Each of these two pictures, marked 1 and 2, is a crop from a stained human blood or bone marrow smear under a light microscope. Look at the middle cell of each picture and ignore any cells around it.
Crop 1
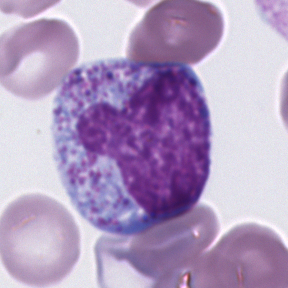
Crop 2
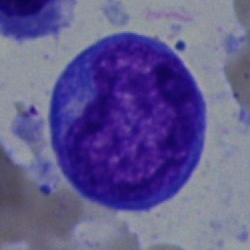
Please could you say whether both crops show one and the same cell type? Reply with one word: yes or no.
no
